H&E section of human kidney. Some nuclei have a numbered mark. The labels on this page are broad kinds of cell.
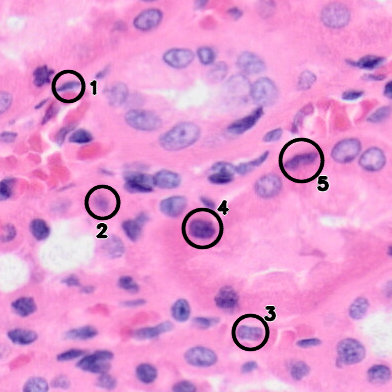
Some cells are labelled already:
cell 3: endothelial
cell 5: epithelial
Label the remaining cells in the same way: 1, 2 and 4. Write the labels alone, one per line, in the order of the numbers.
endothelial
epithelial
epithelial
